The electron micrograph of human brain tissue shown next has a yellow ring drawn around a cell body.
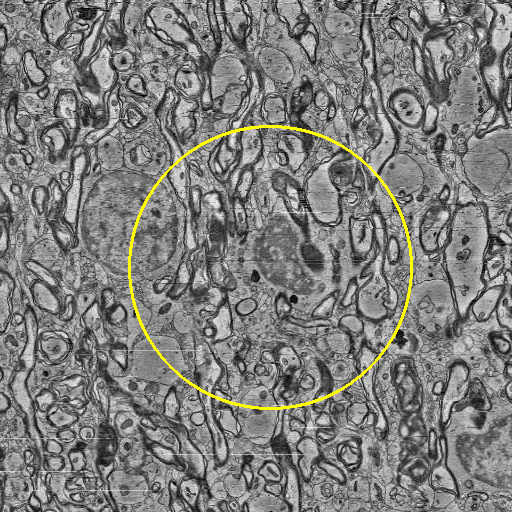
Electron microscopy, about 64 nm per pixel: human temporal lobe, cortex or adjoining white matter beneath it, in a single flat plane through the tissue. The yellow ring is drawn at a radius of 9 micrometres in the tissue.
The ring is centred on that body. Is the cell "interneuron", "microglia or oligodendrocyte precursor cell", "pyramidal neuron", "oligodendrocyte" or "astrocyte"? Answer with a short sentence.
The cell in question is an oligodendrocyte.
